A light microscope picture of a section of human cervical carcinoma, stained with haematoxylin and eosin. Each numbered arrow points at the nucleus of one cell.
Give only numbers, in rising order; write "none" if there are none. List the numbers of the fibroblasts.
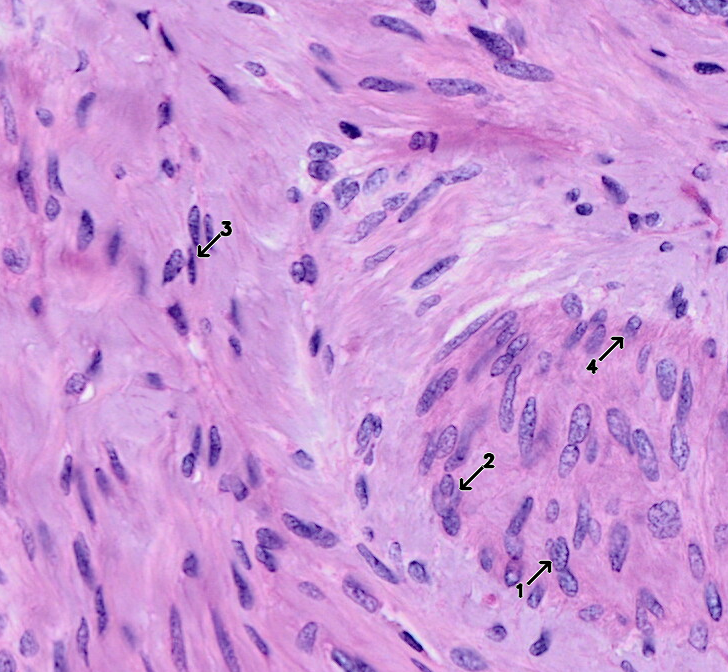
3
